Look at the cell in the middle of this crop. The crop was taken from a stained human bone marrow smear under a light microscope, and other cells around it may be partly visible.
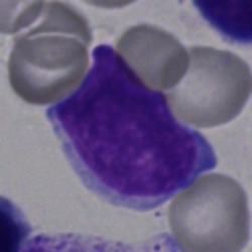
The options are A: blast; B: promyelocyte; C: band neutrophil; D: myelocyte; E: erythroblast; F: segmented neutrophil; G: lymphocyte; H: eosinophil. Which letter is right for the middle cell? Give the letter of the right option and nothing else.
A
